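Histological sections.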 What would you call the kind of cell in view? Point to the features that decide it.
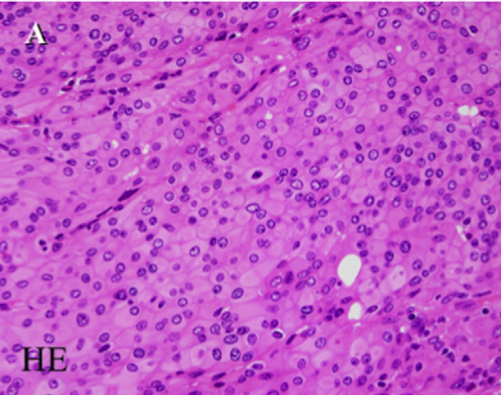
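Polygonal cells with round to oval central nuclei fill the field. Cytoplasm is abundant, pink to pale clear. Cells lie in sheets with thin elongated nuclei of narrow vessels between them.
Conclusion: epithelioid cells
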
